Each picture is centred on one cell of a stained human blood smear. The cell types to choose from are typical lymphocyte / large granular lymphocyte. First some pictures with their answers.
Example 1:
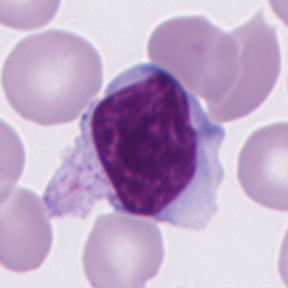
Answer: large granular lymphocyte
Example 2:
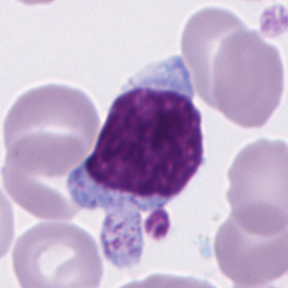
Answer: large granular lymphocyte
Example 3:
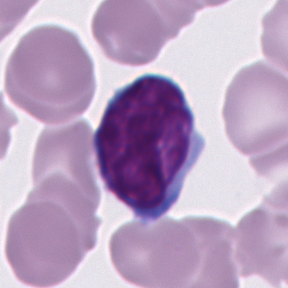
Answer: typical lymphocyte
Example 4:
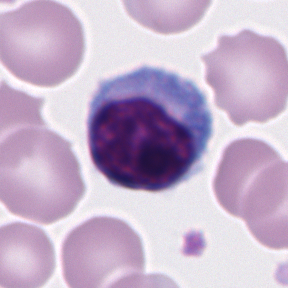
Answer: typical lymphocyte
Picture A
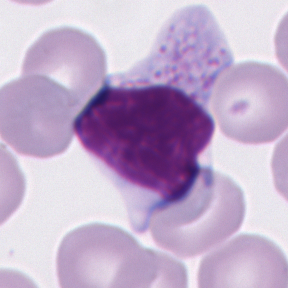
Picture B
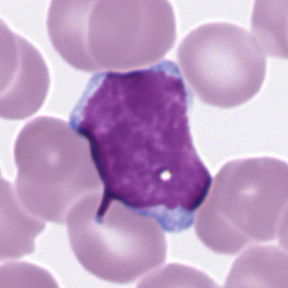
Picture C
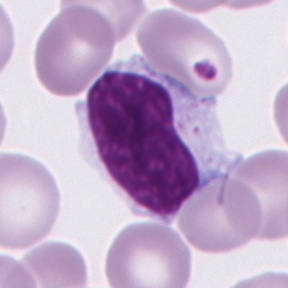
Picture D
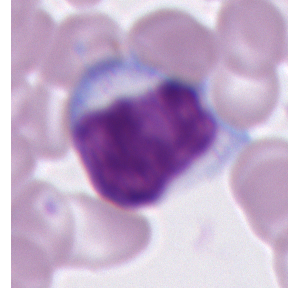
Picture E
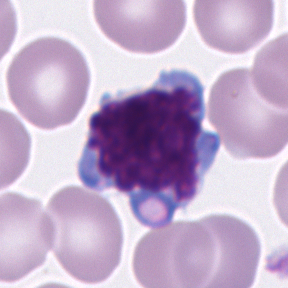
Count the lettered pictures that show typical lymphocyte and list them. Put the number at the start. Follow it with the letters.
3: B, D, E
